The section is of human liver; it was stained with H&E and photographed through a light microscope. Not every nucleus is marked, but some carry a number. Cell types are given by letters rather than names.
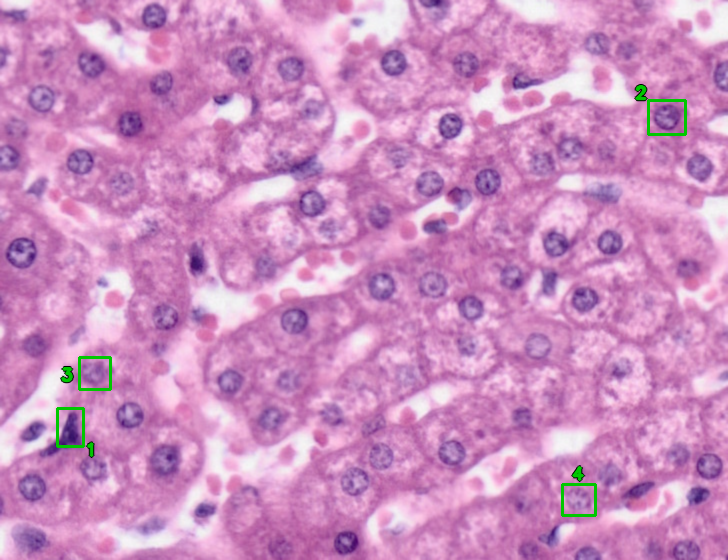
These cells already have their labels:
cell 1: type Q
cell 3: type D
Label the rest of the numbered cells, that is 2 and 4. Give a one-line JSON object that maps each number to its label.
{"2": "type D", "4": "type D"}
